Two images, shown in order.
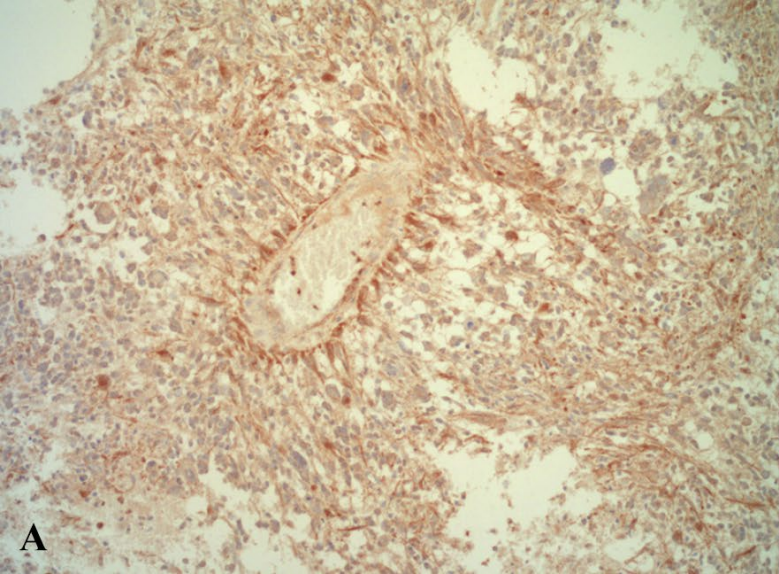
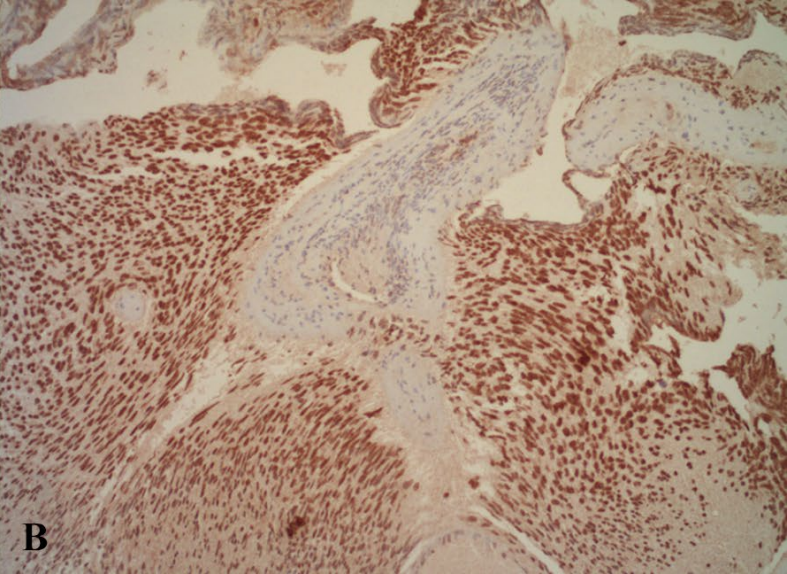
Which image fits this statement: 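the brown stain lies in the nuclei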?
the second image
